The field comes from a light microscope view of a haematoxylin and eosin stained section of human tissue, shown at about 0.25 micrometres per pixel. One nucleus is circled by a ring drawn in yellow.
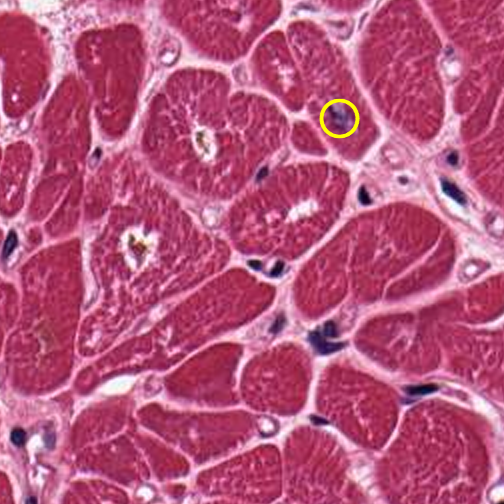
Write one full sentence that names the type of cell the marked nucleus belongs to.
The marked nucleus is a nucleus of a cardiomyocyte.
